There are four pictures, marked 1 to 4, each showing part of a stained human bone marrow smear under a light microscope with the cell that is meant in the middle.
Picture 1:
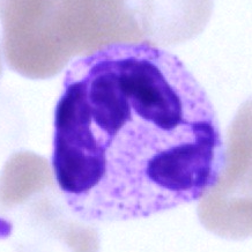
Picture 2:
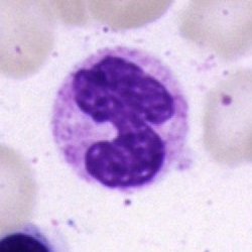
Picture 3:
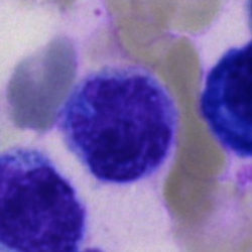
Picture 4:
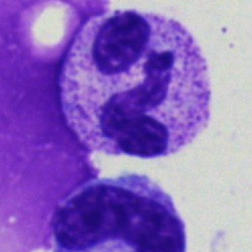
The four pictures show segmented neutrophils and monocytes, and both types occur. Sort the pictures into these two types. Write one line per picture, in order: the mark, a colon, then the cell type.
1: segmented neutrophil
2: segmented neutrophil
3: monocyte
4: segmented neutrophil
